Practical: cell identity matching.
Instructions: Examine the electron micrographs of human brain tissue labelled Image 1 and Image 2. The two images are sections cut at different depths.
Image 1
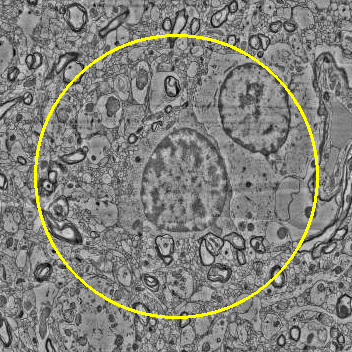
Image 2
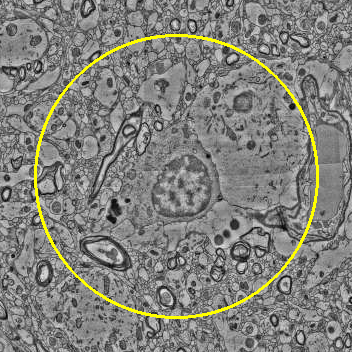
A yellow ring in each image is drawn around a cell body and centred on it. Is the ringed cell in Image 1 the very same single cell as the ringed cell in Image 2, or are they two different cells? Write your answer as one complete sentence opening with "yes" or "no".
Yes, both yellow rings mark one and the same cell.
